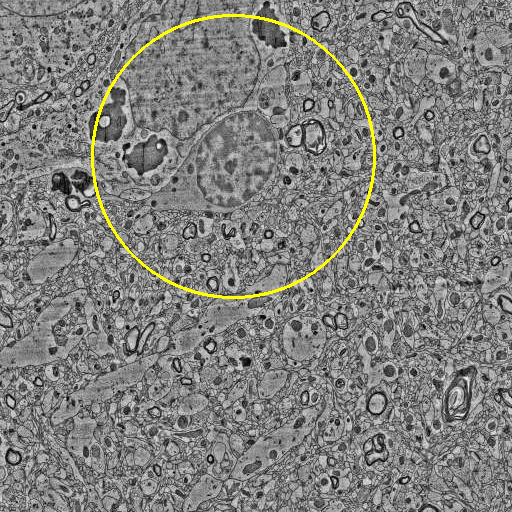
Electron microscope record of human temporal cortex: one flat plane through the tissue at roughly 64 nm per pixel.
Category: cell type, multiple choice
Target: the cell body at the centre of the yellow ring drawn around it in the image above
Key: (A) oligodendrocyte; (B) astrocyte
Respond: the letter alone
A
